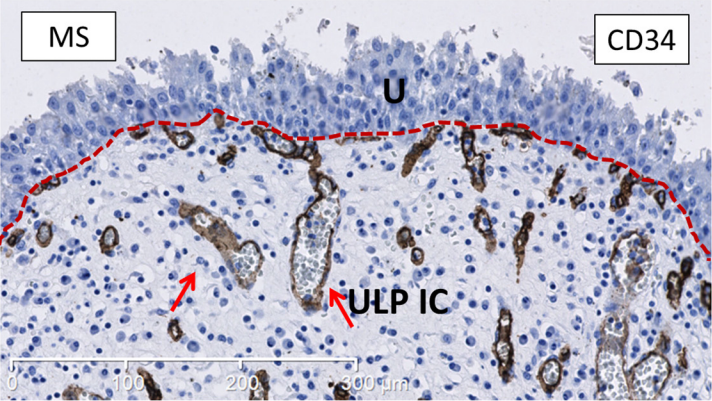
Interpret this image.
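The urothelium is a multilayered sheet of cells with blue nuclei, its surface ragged. Beneath it the stroma is pale and loose, holding scattered small cells with round blue nuclei. Brown-lined vessels of many sizes, some small rings and some long dilated channels, lie at varying depths and orientations. Several larger channels are packed with pale red blood cells.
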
